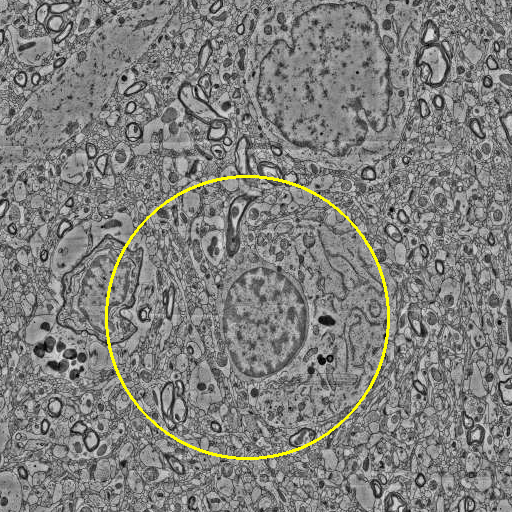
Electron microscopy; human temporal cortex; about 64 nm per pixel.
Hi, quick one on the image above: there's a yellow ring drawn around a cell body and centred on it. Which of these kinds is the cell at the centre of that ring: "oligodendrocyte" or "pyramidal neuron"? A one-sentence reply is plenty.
The cell at the centre of the ring is an oligodendrocyte.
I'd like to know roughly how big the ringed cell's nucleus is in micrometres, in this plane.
Roughly 7 micrometres by 5 micrometres, in this plane.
